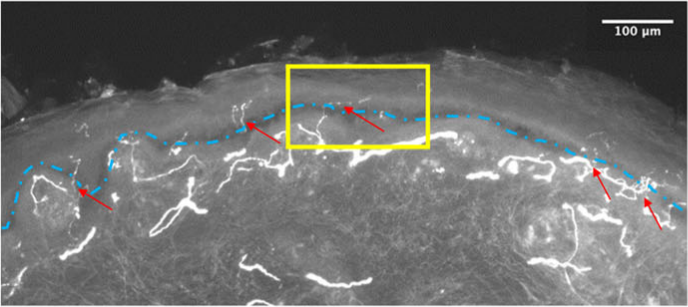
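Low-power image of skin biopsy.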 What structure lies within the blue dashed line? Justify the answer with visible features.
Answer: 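The dashed line runs along the boundary between a smooth upper layer near the surface and a lower layer with fibrous texture. The line follows an undulating course parallel to the skin surface. That points to this answer: basement membrane of the epidermis.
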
